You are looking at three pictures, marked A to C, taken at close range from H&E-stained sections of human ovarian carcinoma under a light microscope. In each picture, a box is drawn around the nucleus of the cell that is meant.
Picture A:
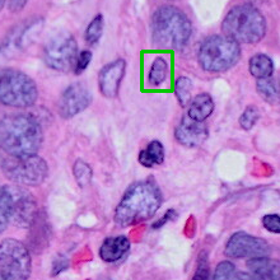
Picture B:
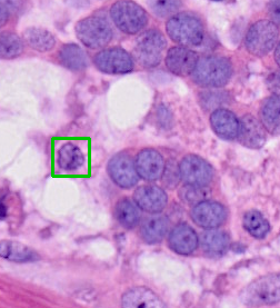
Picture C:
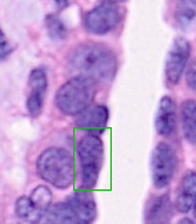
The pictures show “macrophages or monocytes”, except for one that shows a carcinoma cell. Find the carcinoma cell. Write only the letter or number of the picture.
C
